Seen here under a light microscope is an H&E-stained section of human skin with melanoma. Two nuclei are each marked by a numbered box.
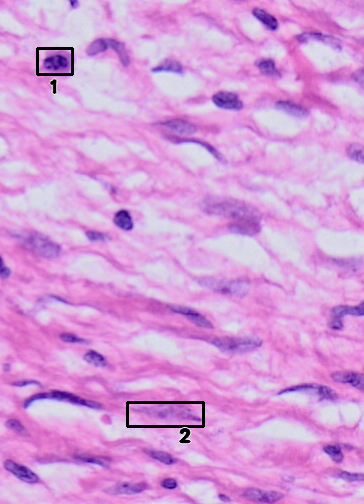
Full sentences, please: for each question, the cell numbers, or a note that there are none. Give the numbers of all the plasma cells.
Cell 1 is a plasma cell; no further numbered cell is.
